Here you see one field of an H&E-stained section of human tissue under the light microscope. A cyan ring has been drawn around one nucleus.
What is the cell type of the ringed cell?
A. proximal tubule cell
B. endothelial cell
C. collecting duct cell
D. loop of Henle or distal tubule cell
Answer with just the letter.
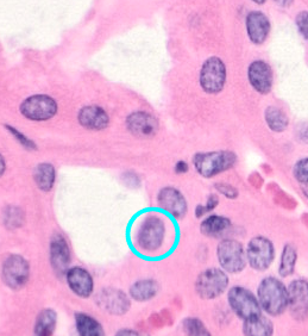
C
